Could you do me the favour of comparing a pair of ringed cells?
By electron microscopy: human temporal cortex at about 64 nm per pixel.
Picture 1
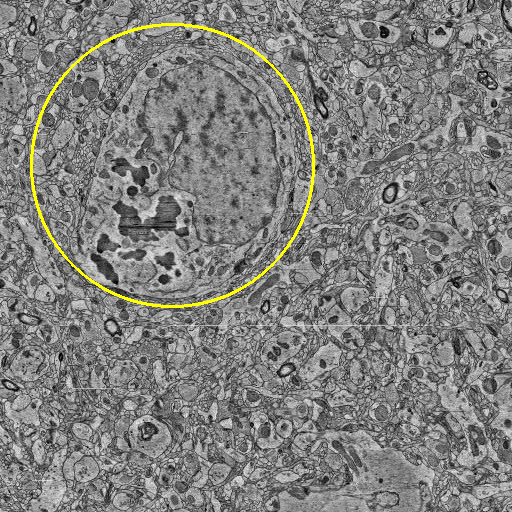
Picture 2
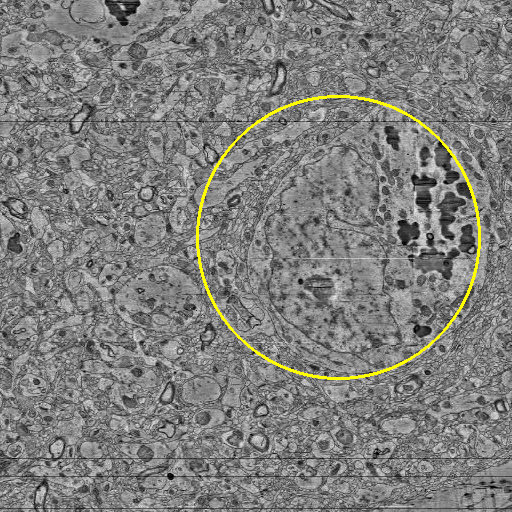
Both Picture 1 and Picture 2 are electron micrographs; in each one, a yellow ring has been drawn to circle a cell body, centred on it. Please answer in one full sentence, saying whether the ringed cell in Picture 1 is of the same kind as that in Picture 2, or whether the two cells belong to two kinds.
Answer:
The ringed cell in Picture 1 is of the same kind as that in Picture 2.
